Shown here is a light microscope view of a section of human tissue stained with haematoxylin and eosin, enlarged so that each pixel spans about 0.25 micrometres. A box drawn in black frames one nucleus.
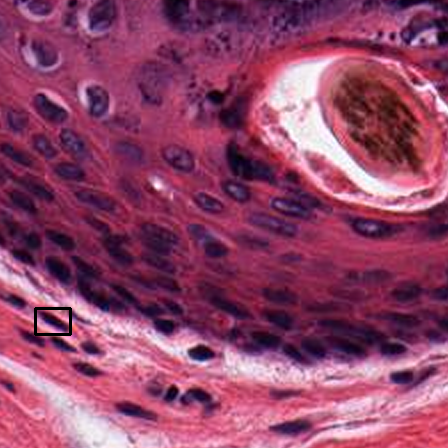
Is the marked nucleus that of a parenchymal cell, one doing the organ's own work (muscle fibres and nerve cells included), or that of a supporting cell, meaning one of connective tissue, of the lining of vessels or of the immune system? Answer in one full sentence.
Designated as that of a supporting cell is the marked nucleus.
